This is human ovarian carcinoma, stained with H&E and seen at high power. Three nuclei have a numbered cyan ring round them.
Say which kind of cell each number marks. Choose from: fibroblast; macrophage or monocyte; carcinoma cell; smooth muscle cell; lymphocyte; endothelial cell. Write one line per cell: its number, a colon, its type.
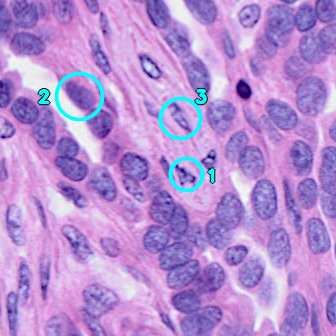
1: fibroblast
2: carcinoma cell
3: fibroblast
